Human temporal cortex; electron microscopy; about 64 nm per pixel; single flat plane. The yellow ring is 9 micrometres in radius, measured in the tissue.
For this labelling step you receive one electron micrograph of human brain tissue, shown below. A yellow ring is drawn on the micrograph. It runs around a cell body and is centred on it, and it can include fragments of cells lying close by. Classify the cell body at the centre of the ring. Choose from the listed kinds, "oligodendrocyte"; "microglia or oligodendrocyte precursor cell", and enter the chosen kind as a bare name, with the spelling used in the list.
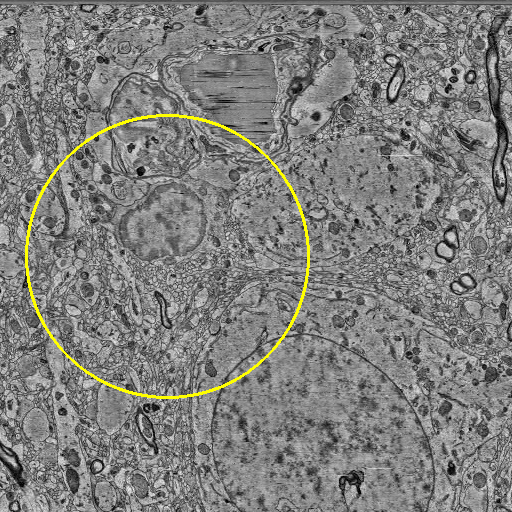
oligodendrocyte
